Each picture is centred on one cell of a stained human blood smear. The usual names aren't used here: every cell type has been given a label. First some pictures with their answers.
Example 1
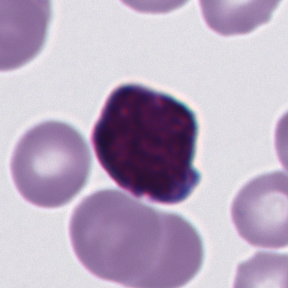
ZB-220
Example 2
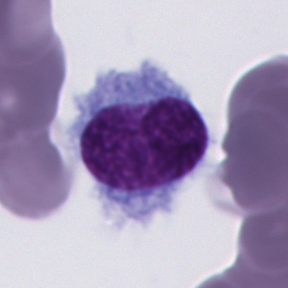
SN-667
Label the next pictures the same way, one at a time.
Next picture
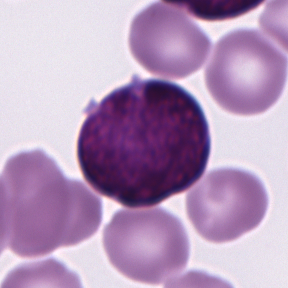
ZB-220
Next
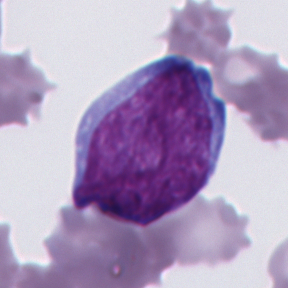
ZB-220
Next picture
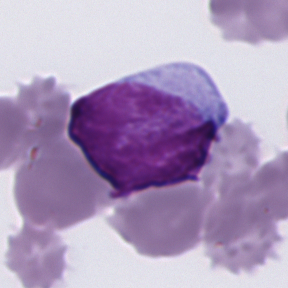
ZB-220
